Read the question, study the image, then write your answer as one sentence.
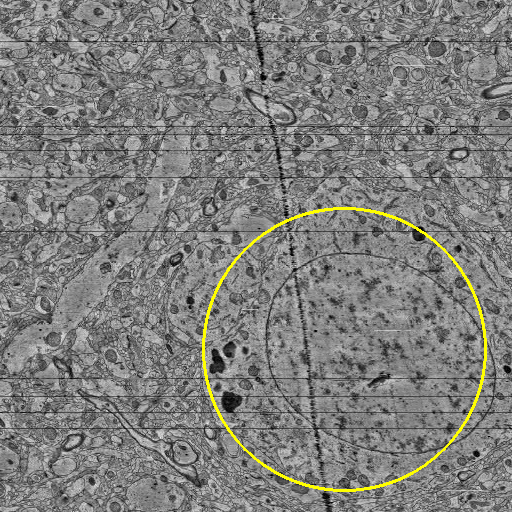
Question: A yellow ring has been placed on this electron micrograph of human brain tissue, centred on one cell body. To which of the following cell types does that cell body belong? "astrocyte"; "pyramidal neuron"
That cell body belongs to a pyramidal neuron.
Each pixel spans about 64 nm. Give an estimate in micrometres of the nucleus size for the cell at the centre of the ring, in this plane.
In this plane the nucleus measures roughly 16 by 12 micrometers.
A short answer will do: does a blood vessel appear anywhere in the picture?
No, there is no blood vessel in the image.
